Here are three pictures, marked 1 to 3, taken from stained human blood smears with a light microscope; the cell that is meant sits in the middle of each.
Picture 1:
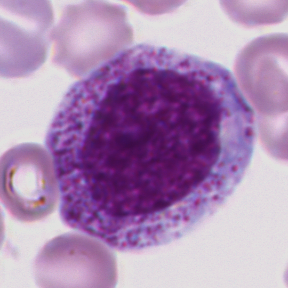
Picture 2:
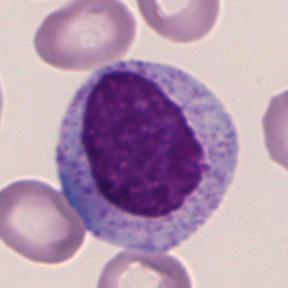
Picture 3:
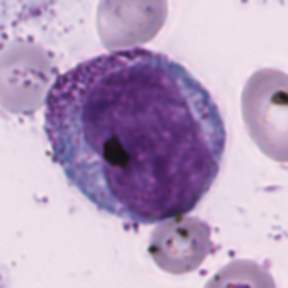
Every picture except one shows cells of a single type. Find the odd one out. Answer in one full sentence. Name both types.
Picture 2 differs, because its cell is a myelocyte and the rest are promyelocytes.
